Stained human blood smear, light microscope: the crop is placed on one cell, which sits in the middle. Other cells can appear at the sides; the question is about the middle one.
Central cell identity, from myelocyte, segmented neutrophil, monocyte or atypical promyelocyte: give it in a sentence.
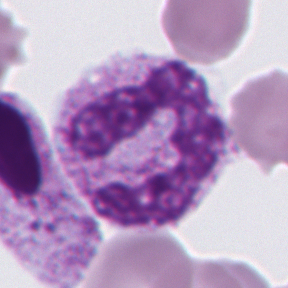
At the crop's centre, the cell is a segmented neutrophil.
